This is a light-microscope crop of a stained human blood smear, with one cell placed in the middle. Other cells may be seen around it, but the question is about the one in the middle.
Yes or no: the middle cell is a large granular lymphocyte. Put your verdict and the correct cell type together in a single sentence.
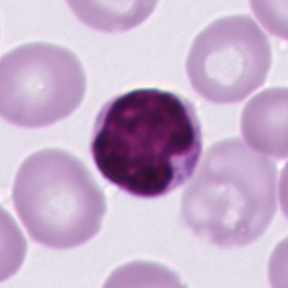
Yes, the cell in the middle has the identity of a large granular lymphocyte.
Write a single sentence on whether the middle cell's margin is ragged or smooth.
Smooth edges only, with no spikes, blebs, or other projections.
